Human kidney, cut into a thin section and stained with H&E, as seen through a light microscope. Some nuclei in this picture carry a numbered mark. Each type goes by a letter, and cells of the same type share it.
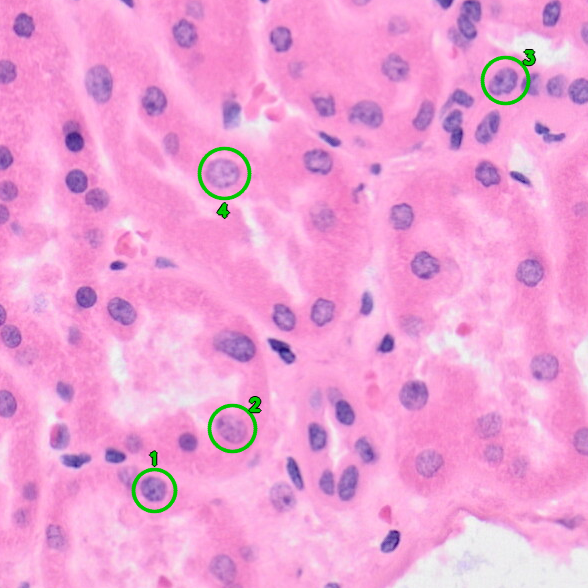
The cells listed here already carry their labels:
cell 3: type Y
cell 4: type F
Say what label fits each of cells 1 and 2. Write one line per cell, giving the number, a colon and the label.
1: type F
2: type F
